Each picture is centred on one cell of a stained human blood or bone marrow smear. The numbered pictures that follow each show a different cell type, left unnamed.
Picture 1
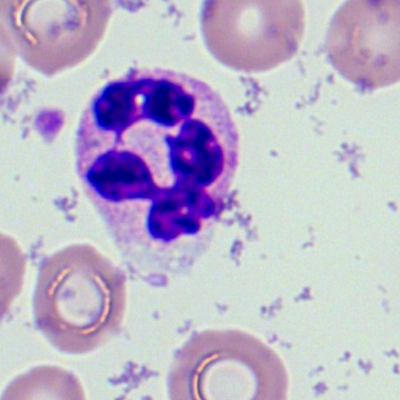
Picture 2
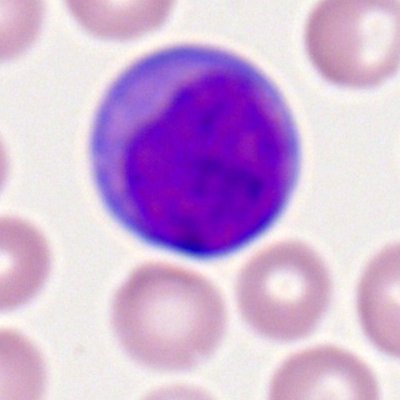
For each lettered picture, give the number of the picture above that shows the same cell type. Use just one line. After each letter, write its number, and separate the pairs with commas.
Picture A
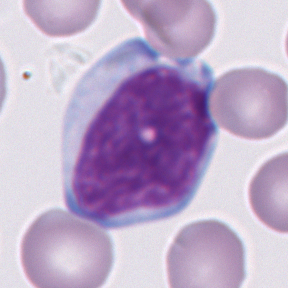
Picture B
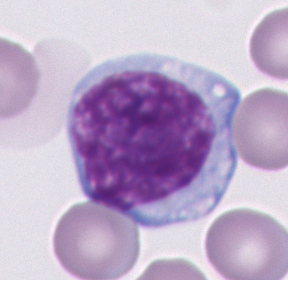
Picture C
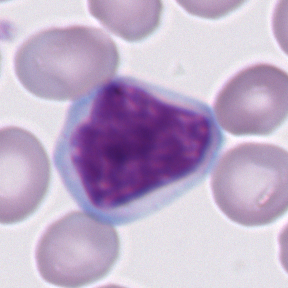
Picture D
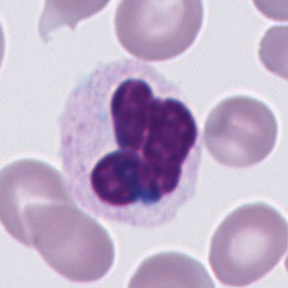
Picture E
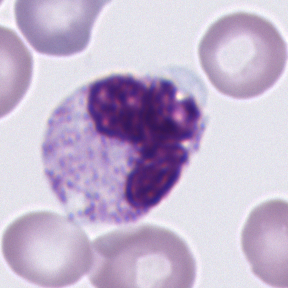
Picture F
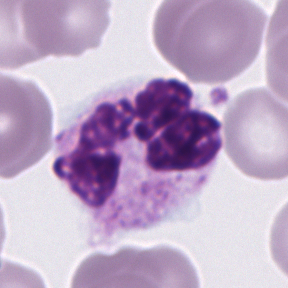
A 2, B 2, C 2, D 1, E 1, F 1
